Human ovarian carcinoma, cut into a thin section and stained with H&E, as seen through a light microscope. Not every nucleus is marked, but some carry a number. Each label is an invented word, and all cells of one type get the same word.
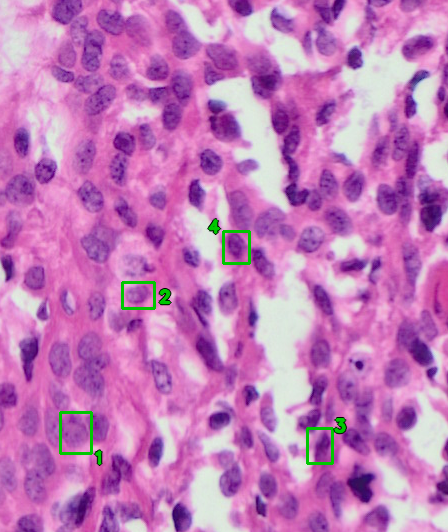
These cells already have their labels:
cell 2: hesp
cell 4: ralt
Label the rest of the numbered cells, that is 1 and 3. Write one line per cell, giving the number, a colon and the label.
1: ralt
3: ralt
